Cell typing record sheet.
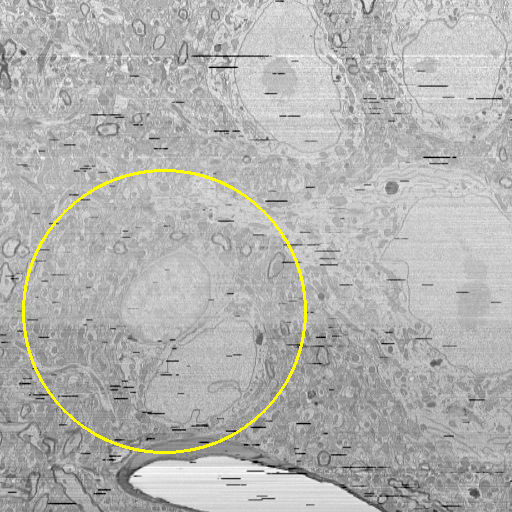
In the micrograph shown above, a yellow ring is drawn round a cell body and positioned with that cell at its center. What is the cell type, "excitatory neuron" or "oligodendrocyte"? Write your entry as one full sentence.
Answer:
The cell body at the center of the ring belongs to an oligodendrocyte.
